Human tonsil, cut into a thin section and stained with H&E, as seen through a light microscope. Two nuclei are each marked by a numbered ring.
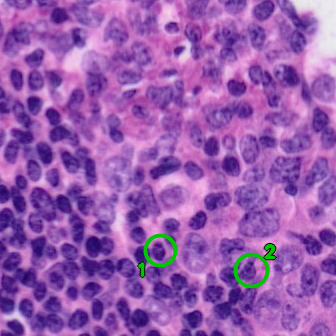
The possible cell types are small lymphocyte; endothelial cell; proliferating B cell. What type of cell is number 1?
small lymphocyte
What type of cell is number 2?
proliferating B cell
